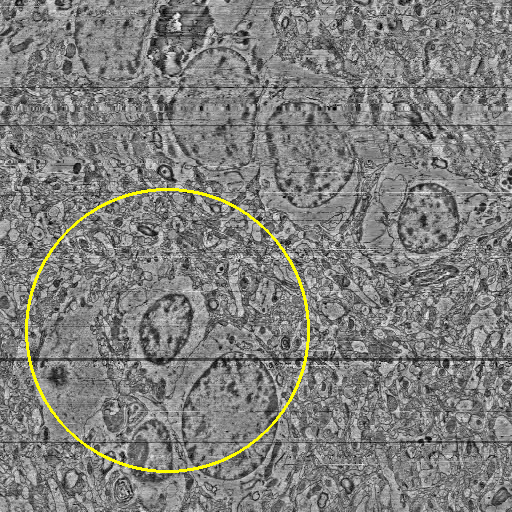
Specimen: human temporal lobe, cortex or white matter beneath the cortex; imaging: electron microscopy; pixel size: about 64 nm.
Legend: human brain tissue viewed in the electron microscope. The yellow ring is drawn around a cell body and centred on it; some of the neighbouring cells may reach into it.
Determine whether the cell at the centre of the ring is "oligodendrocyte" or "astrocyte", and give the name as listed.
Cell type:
astrocyte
